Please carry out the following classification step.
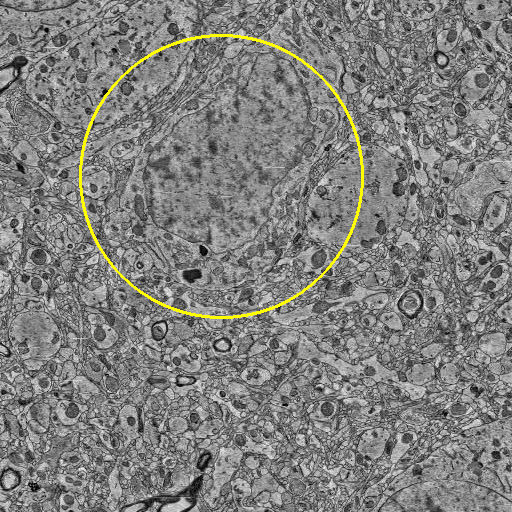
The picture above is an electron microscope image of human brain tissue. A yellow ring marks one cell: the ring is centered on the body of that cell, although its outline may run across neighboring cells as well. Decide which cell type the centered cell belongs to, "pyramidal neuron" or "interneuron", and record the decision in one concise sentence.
The cell centered in the yellow ring is an interneuron.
